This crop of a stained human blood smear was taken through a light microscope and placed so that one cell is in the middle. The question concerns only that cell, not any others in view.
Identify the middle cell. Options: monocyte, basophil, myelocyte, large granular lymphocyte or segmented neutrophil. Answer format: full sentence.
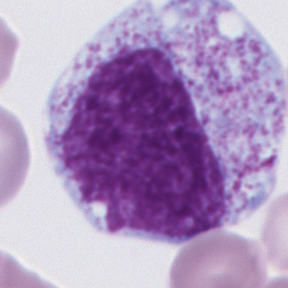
The centered cell in this crop is a myelocyte.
